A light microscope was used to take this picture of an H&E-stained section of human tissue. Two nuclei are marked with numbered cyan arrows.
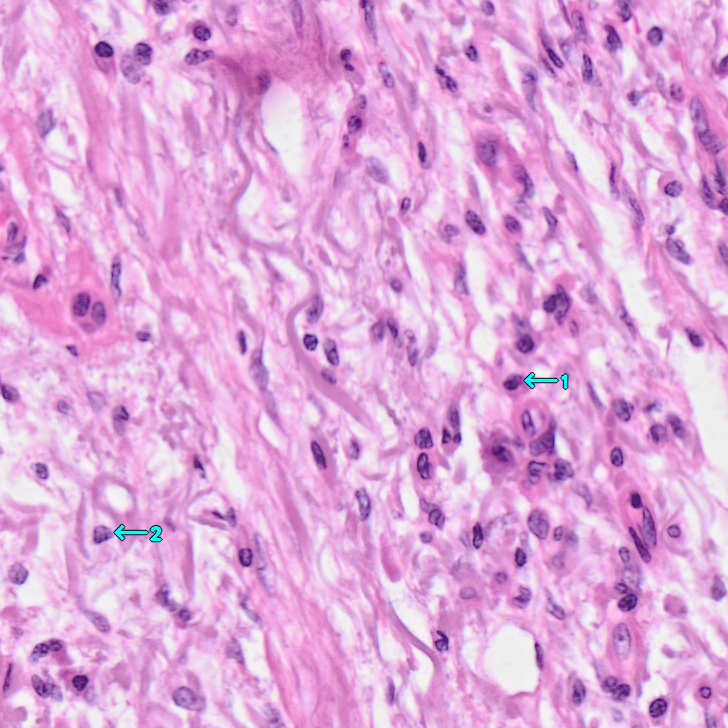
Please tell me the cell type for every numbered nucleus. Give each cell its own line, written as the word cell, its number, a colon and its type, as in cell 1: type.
cell 1: plasma cell
cell 2: lymphocyte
